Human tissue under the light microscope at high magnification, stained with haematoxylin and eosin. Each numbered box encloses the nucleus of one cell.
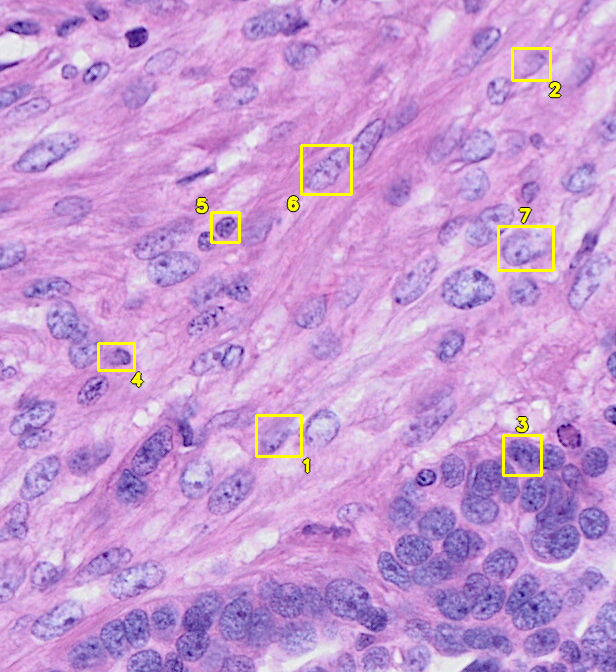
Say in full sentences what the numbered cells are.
Cell 1 is a fibroblast, cell 2 is a fibroblast, cell 3 is a carcinoma cell, cell 4 is a macrophage or monocyte, cell 5 is a lymphocyte, cell 6 is a fibroblast and cell 7 is a fibroblast.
